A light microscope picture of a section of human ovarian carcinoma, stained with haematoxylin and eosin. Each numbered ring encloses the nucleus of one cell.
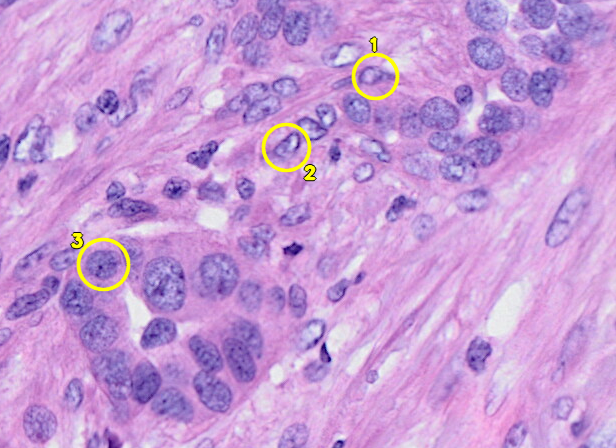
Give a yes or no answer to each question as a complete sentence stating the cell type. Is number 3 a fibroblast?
No, for cell 3, the correct identification is a carcinoma cell instead of a fibroblast.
